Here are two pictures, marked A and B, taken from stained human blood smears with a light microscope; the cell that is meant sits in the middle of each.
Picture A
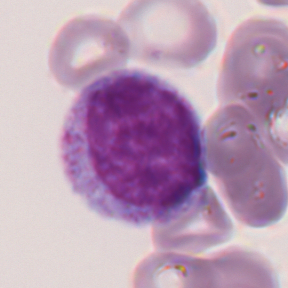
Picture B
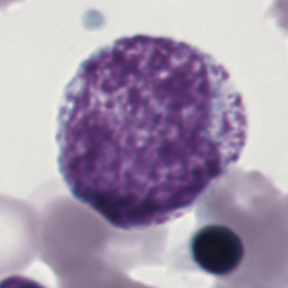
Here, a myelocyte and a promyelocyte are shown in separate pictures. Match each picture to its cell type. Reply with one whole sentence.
In picture A the cell is a myelocyte; in picture B, a promyelocyte.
